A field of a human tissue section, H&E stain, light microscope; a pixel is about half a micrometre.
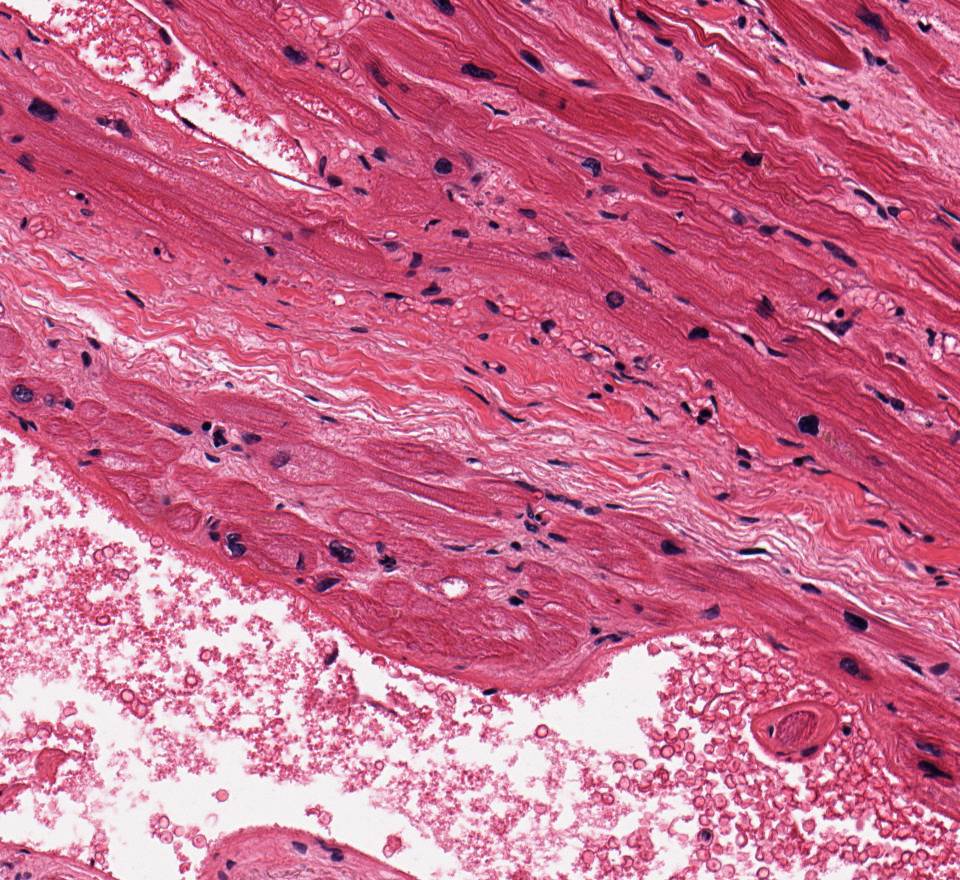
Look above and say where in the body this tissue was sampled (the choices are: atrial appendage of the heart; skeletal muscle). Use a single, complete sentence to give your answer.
The tissue in this section derives from the atrial appendage of the heart.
